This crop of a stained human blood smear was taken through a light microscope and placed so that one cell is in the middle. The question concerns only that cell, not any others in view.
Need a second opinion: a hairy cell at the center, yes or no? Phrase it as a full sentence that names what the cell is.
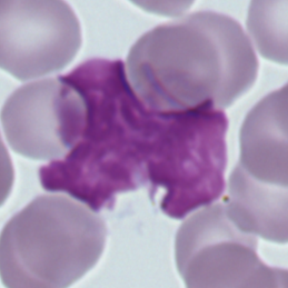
No, in the centre of the crop lies a smudge cell, not a hairy cell.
